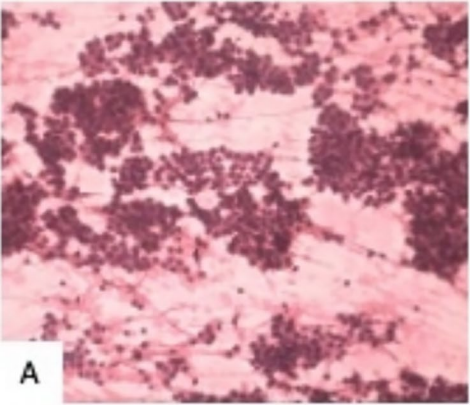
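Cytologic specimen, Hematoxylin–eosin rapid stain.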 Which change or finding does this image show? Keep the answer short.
Hypercellular.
